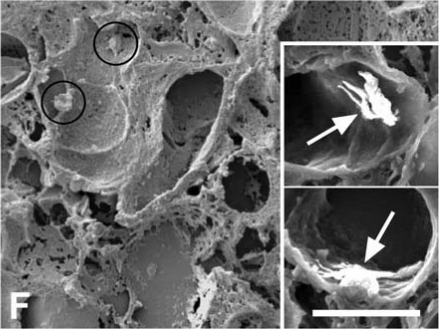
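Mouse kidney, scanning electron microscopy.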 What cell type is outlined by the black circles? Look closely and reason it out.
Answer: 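Each circle encloses a small bright irregular particle. The particles sit on the smooth surface of a vessel wall. The answer: platelets.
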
